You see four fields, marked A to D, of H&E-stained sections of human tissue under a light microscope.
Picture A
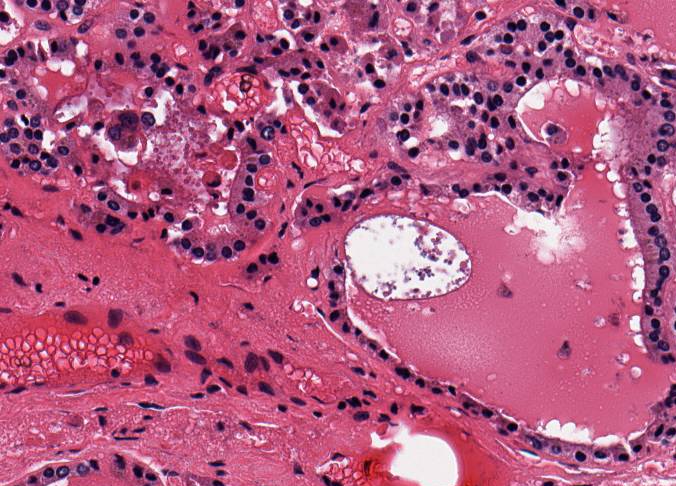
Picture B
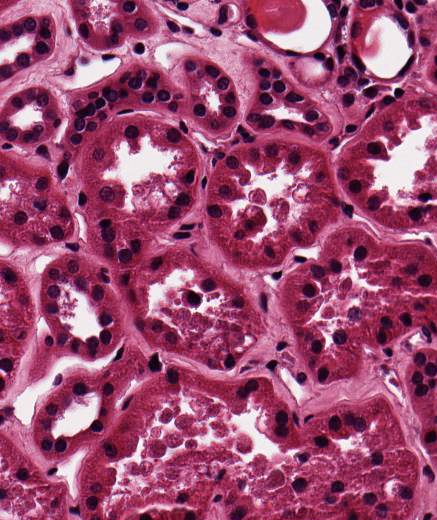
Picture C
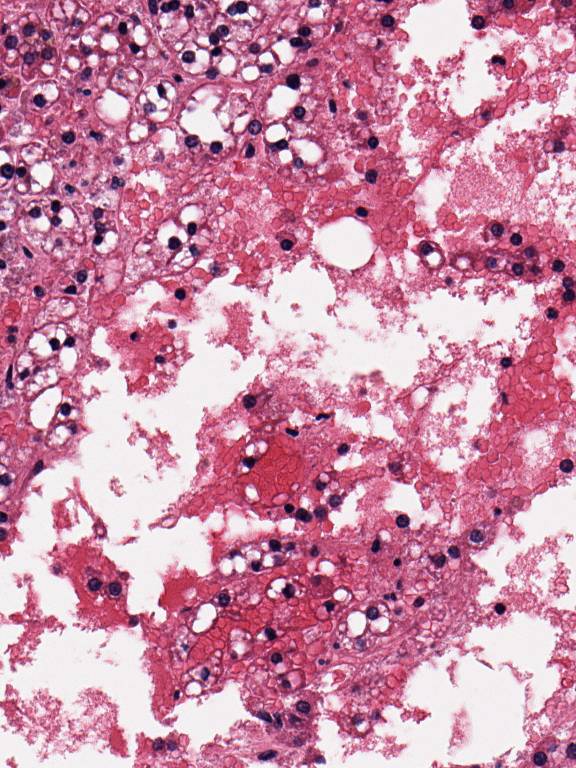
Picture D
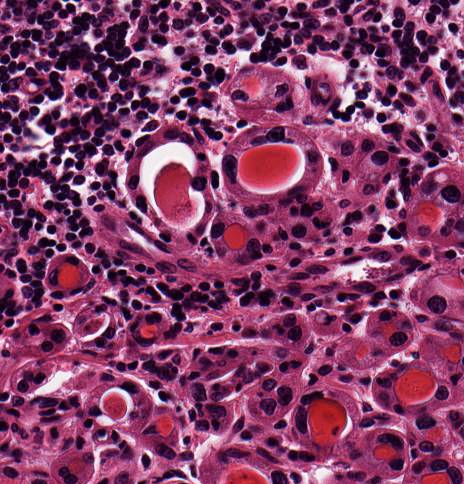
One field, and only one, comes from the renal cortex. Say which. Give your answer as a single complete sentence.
Picture B is the field that comes from the renal cortex.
